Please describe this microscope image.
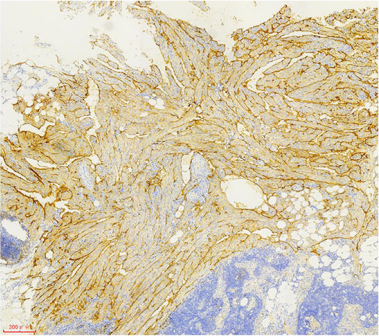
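The section shows smooth muscle-like spindle cells in streaming, intersecting fascicles. Brown staining outlines the elongated cells and the slit-like spaces between the bundles, giving a net-like pattern. Fat cells appear at the left and right margins, and a dense blue-stained cellular tissue lacking brown colour occupies the lower edge.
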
